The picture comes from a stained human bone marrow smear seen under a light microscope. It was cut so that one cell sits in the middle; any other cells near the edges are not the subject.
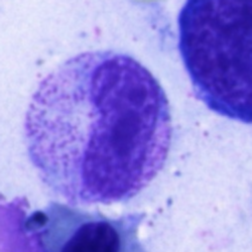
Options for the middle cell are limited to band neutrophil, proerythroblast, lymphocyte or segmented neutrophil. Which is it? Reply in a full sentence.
The cell centred in this crop is categorized as a band neutrophil.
